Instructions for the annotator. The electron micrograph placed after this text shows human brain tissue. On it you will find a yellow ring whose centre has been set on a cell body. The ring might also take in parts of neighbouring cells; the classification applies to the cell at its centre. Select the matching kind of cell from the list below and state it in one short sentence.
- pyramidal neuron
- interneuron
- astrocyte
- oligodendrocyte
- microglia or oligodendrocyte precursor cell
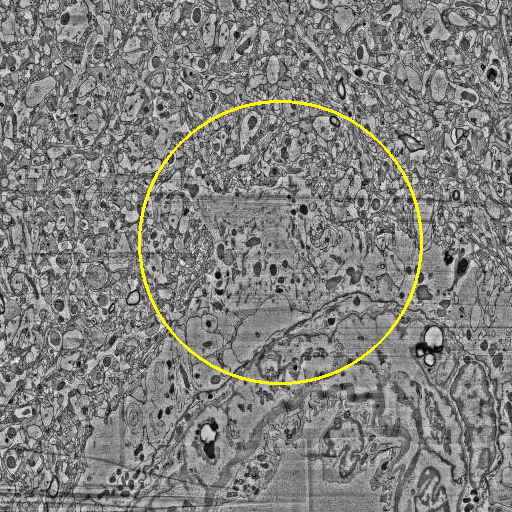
The ring is drawn on the cell body of an astrocyte.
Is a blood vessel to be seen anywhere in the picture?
Yes, a blood vessel is present in this picture.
